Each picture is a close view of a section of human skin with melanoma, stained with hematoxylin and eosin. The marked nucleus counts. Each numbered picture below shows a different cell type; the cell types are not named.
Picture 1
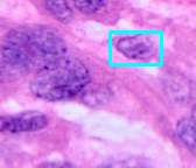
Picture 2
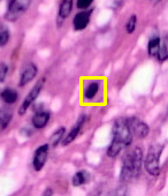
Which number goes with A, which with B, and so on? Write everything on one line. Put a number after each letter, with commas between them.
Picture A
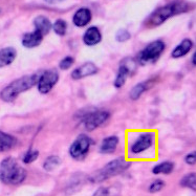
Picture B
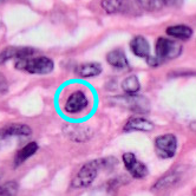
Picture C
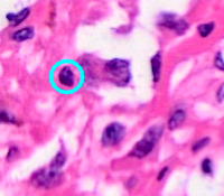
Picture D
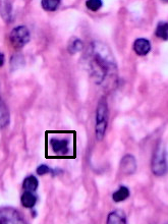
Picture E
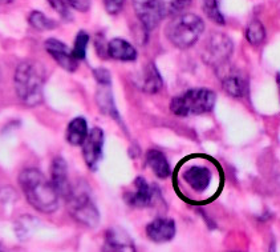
A 2, B 2, C 2, D 2, E 2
